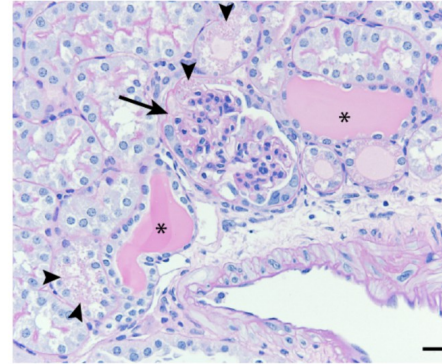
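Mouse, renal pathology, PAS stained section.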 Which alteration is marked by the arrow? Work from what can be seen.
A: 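The arrow points to one part of a glomerular tuft. The tuft there is pinker and more solid than the rest of the tuft. That points to this answer: segmental glomerular lesion.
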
